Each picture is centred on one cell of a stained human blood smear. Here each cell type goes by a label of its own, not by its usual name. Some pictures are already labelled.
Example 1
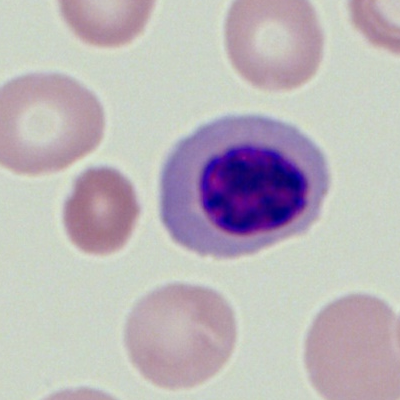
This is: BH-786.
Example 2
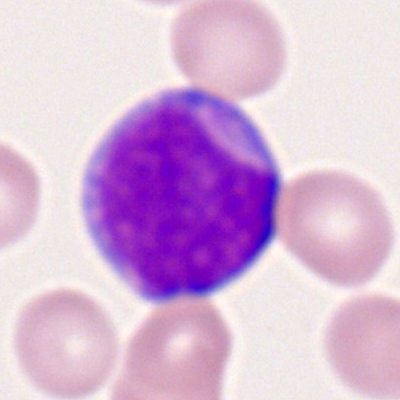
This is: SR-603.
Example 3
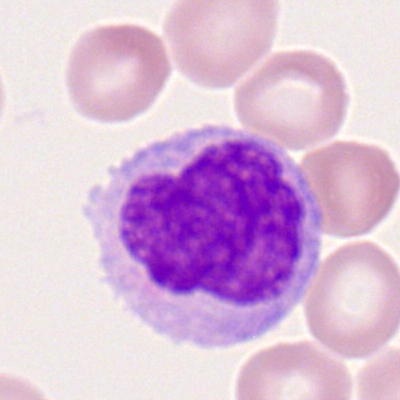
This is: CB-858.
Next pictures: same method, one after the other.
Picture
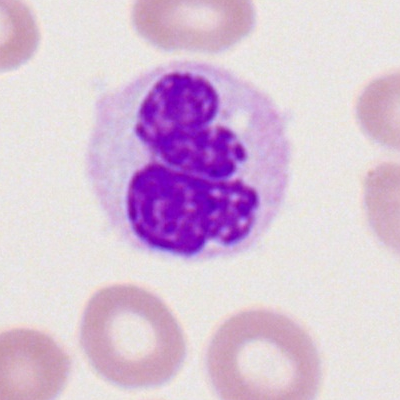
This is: CB-858.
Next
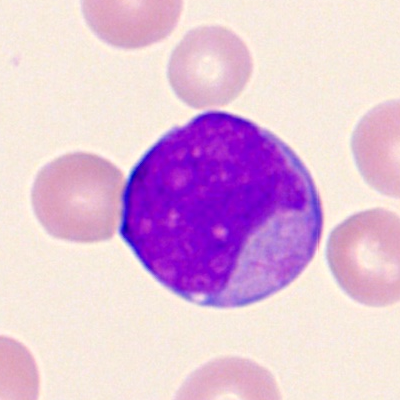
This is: SR-603.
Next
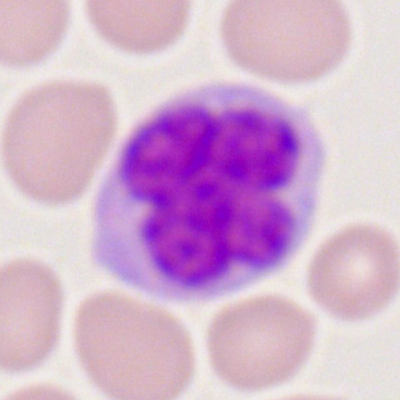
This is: CB-858.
